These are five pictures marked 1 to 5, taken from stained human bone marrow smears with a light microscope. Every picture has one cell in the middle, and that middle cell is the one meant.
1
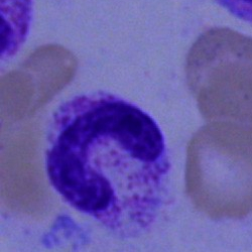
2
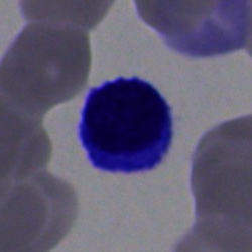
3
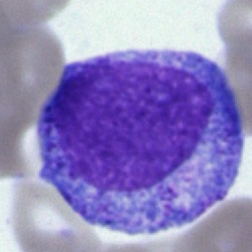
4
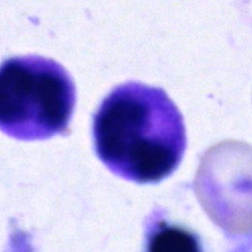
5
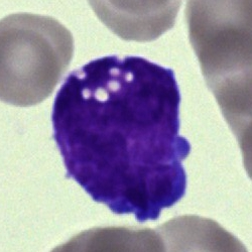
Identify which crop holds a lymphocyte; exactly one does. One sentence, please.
Crop 2 is where a lymphocyte is to be found.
